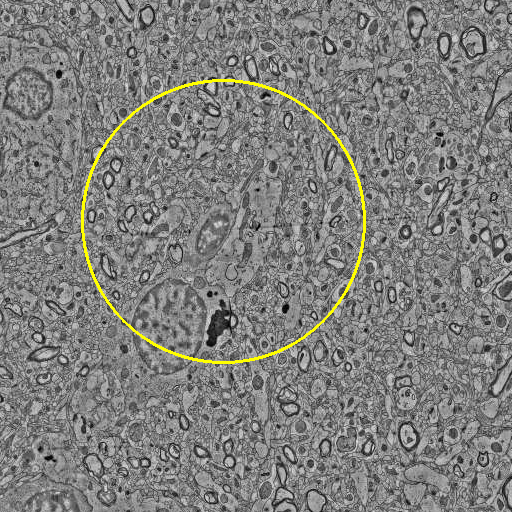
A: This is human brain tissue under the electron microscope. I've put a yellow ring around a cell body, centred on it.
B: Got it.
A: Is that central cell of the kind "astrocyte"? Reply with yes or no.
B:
no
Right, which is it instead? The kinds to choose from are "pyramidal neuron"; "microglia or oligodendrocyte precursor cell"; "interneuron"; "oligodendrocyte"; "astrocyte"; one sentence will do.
The cell marked by the ring is an oligodendrocyte.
